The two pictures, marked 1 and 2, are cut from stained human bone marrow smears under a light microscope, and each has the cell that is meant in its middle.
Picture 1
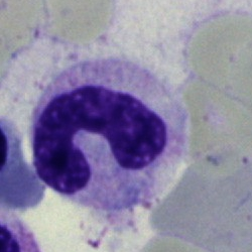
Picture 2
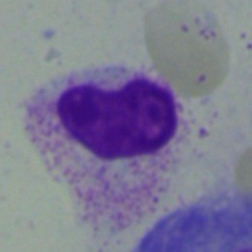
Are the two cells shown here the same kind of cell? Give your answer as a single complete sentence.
No, the types are not the same, since picture 1 shows a band neutrophil and picture 2 a metamyelocyte.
